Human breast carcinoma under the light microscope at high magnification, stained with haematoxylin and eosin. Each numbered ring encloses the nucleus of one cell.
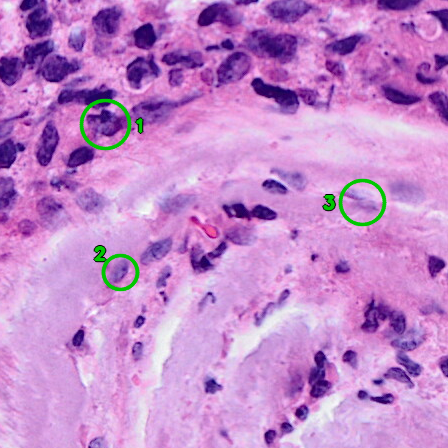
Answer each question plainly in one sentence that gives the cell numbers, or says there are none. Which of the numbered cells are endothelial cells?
Whereas cell 2 is an endothelial cell, the other numbered cells are not.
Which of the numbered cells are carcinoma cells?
It is cell 1, and no other numbered cell, that is a carcinoma cell.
